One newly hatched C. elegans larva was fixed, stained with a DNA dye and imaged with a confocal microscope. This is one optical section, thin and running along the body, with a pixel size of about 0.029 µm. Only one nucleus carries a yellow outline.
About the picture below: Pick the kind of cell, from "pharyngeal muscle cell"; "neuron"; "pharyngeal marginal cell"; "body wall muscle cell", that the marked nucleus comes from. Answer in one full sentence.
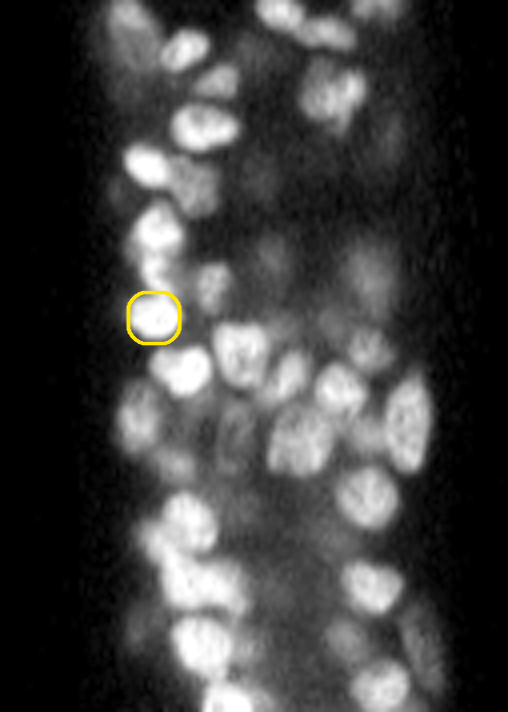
The nucleus comes from a neuron.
